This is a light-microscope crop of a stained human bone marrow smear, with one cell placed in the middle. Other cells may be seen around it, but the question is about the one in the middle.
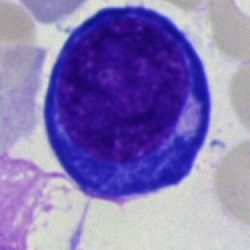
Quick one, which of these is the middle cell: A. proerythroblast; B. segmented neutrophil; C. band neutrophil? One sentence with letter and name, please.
The right choice is option A: the cell in the middle is a proerythroblast.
